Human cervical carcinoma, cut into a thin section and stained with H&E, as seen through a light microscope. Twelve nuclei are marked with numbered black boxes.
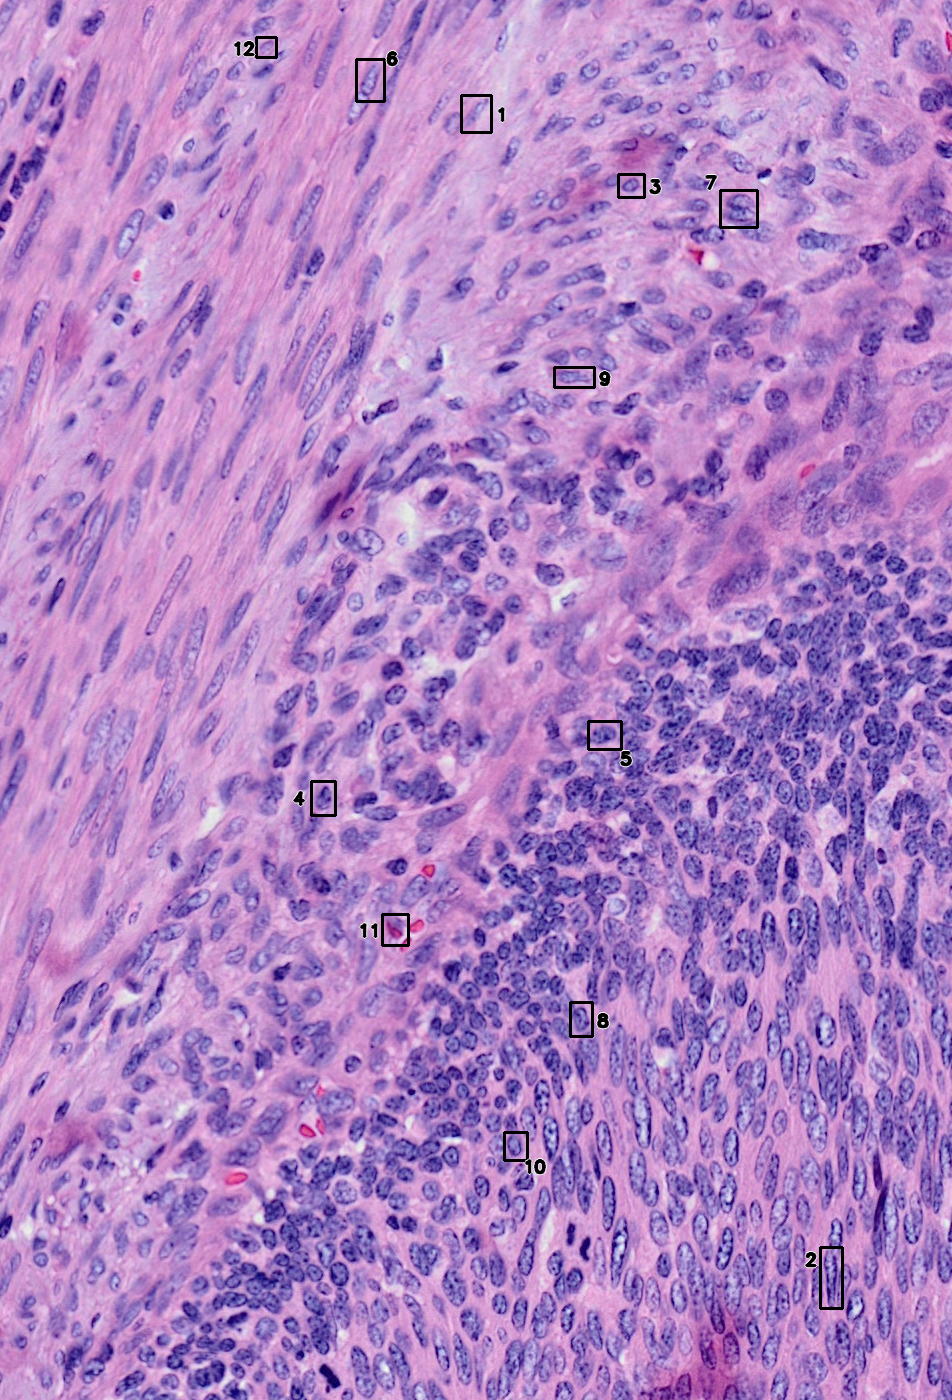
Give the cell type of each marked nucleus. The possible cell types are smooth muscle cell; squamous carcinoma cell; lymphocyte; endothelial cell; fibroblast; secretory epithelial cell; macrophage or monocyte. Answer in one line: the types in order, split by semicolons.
smooth muscle cell; squamous carcinoma cell; smooth muscle cell; lymphocyte; squamous carcinoma cell; smooth muscle cell; endothelial cell; squamous carcinoma cell; smooth muscle cell; squamous carcinoma cell; endothelial cell; smooth muscle cell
